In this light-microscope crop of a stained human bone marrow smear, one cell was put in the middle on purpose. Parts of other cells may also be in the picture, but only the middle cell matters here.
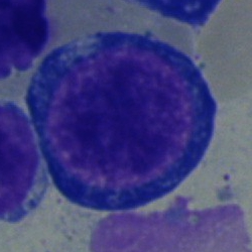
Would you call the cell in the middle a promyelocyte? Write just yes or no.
no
